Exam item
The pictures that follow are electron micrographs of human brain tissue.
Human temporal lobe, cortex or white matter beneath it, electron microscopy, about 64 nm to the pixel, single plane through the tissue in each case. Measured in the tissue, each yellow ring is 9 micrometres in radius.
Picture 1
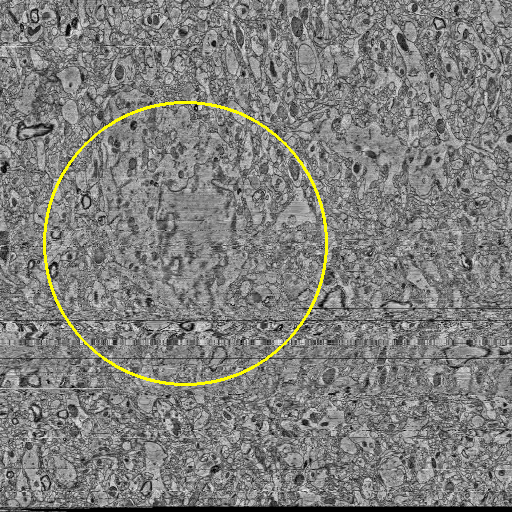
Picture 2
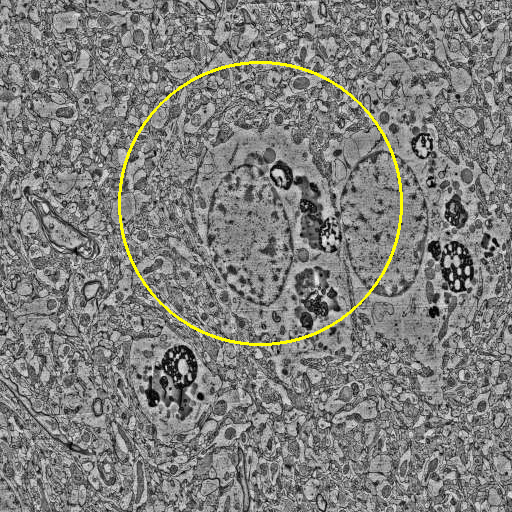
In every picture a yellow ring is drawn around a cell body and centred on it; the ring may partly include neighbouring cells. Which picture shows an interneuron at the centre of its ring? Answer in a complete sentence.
The cell at the centre of the ring in Picture 1 is the one asked for.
